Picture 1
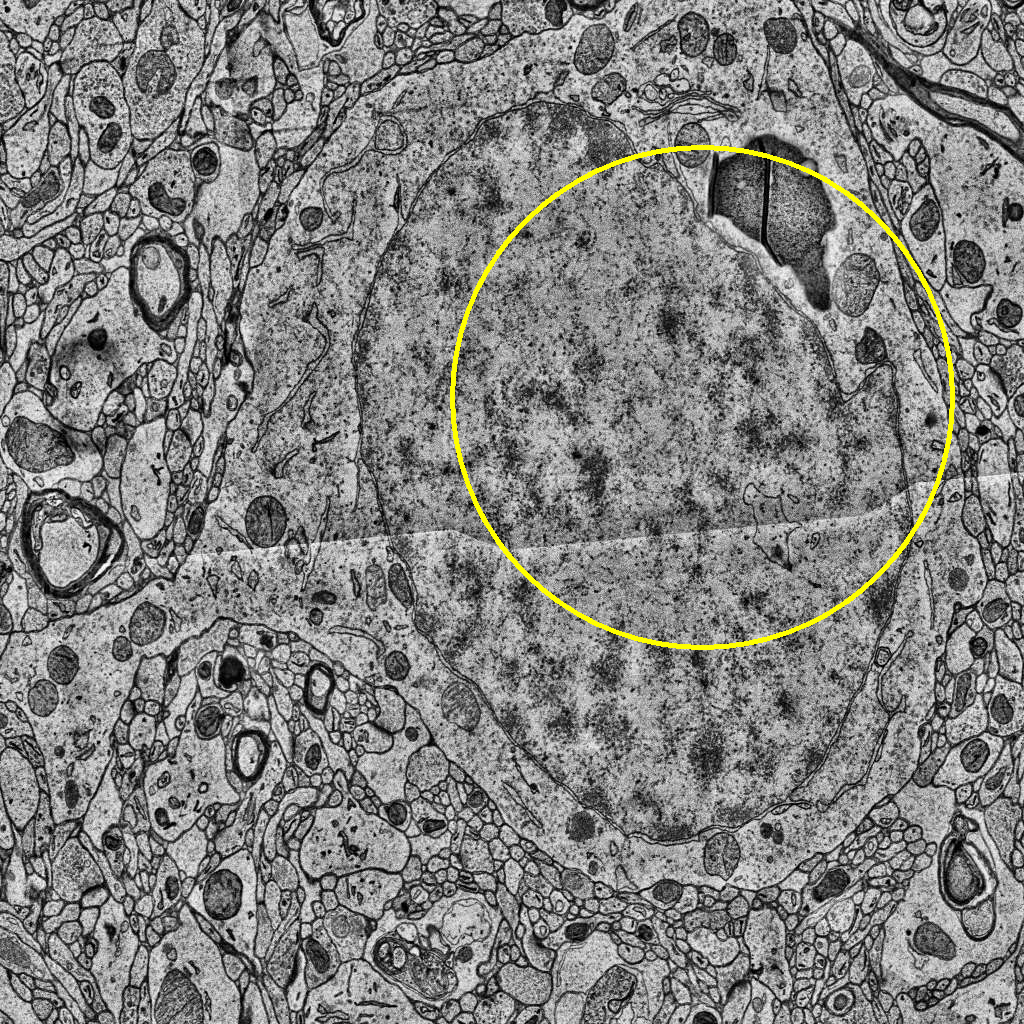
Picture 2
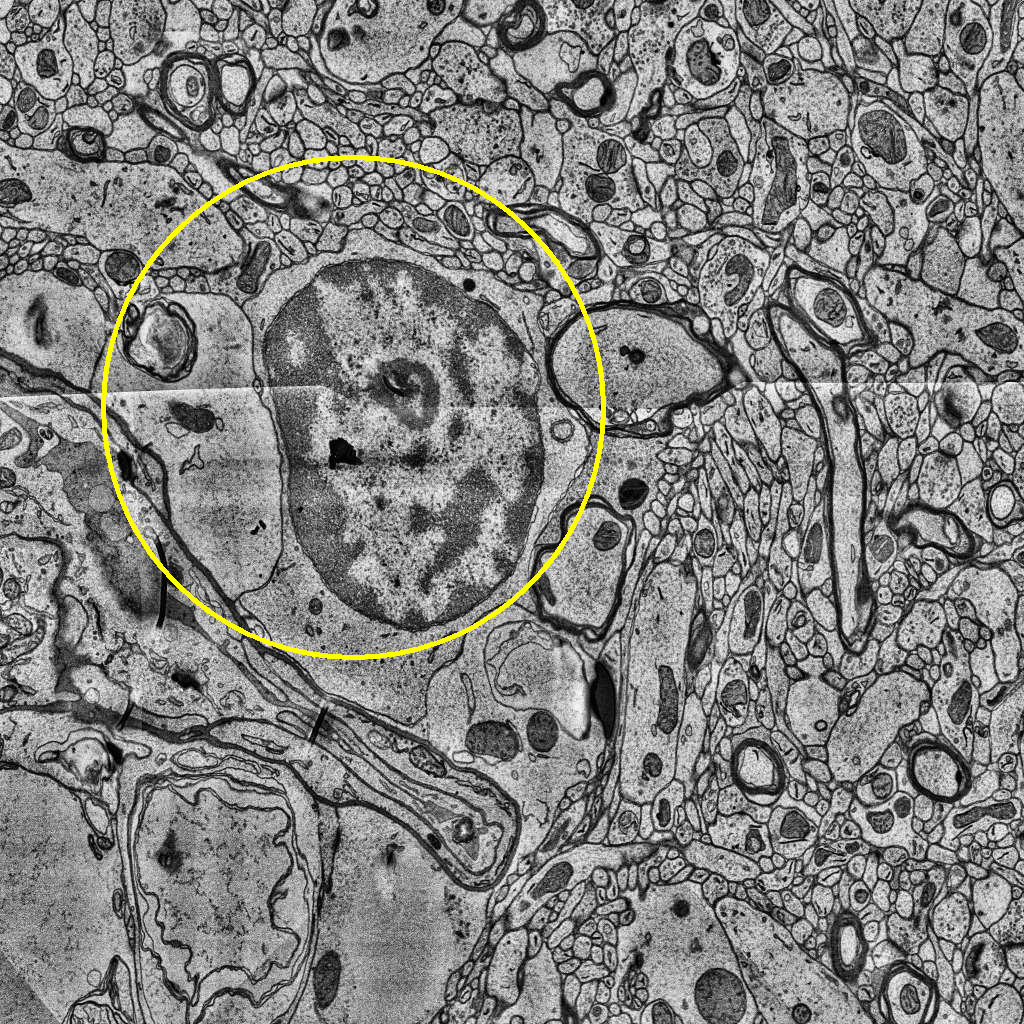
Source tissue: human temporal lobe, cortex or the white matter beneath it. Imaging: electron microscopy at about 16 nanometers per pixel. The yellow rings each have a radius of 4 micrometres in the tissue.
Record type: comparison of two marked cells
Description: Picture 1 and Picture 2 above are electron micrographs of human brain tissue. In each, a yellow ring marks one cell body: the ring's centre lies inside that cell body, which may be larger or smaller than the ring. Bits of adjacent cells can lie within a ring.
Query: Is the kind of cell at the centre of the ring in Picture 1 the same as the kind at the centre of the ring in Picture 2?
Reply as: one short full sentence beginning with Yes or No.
No, the two cells at the ring centres are of two separate kinds.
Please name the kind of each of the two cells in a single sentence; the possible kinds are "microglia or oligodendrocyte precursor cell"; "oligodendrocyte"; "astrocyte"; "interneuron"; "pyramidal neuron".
The cell at the centre of the ring is an interneuron in the first picture and a microglial cell or oligodendrocyte precursor cell in the second.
